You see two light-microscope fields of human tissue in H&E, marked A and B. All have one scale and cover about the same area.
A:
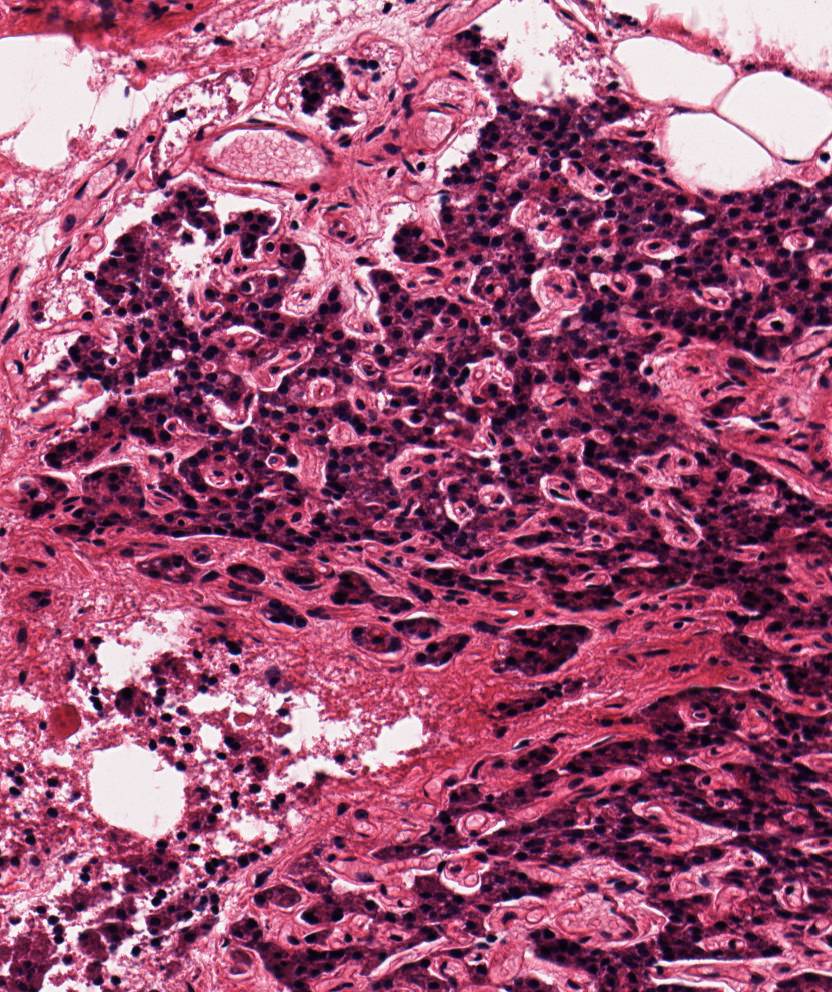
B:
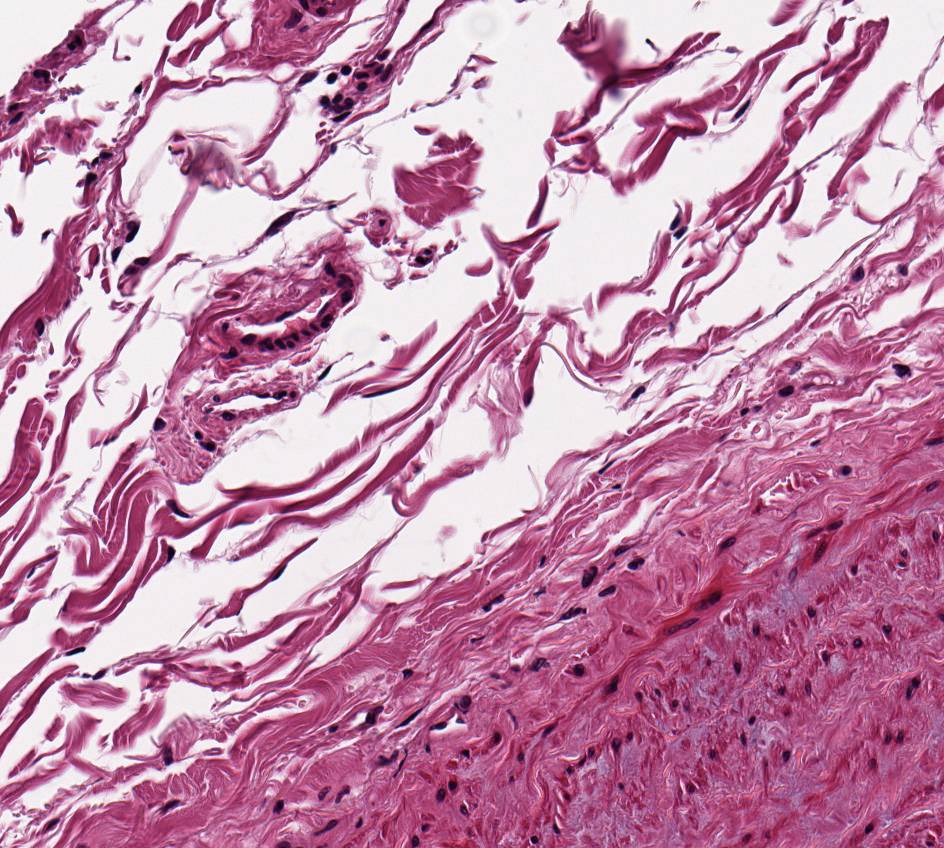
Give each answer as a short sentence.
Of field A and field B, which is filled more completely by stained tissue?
Unstained space takes up less of field A than of field B.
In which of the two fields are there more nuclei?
Field A holds more nuclei than field B.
